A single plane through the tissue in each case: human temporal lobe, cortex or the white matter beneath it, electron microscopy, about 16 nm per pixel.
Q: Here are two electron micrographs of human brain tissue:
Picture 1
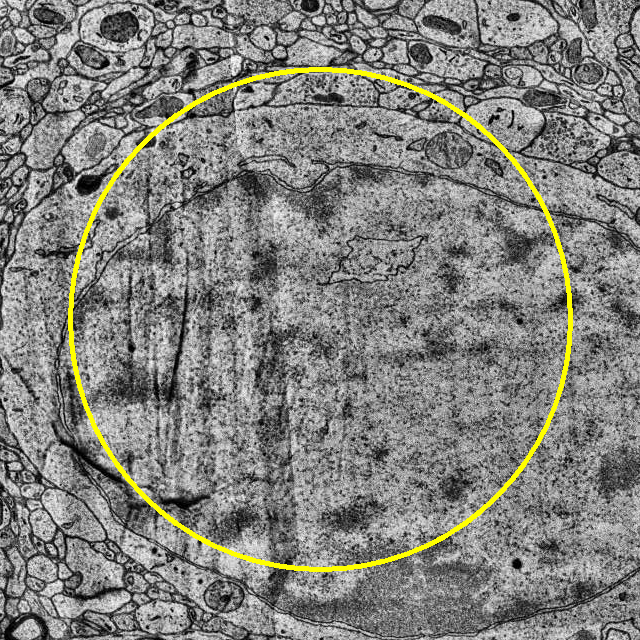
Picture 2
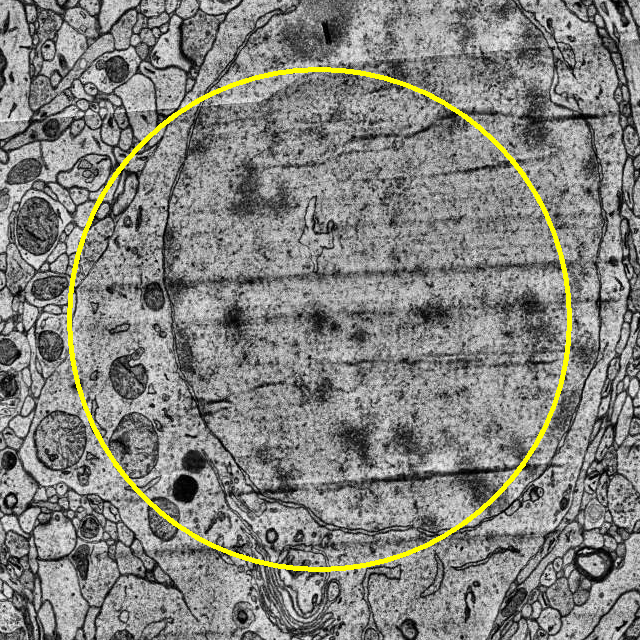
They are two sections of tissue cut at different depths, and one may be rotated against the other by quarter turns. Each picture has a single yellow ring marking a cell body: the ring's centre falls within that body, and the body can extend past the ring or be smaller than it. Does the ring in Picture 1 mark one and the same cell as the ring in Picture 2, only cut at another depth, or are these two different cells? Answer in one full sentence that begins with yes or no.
Yes, the two marked outlines come from one and the same cell.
